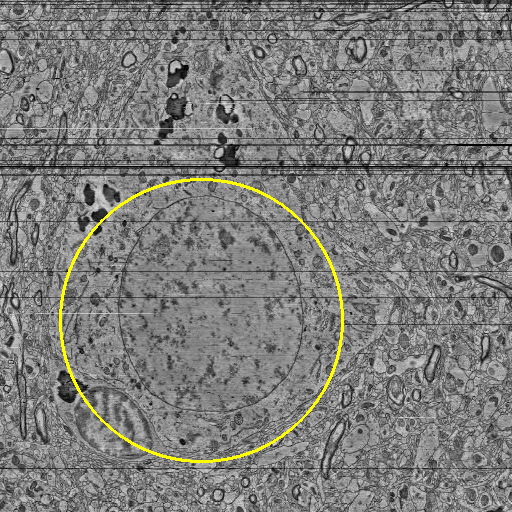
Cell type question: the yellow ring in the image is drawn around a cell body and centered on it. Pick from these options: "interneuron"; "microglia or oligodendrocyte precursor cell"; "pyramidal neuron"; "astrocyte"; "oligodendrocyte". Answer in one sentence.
The ringed cell at the center is a pyramidal neuron.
